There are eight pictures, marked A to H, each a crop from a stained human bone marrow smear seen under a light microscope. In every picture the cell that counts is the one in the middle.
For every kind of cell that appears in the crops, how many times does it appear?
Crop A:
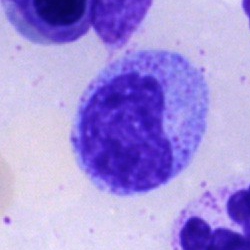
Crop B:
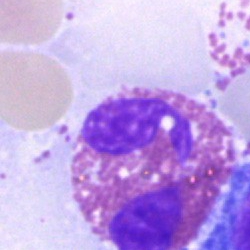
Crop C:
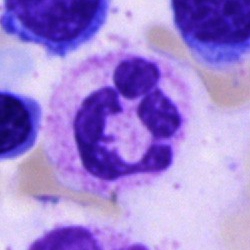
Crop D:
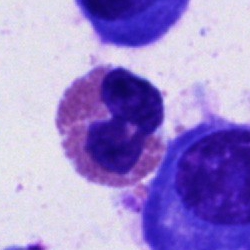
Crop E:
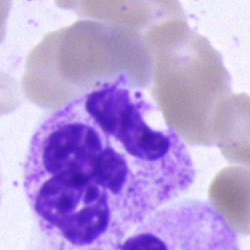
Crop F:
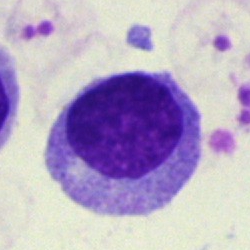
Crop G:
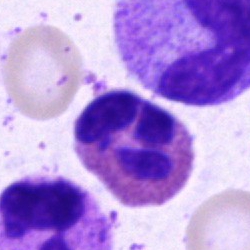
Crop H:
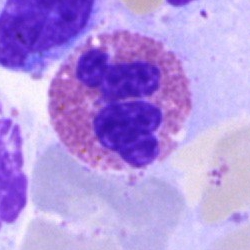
eosinophil: 4
myelocyte: 2
segmented neutrophil: 2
